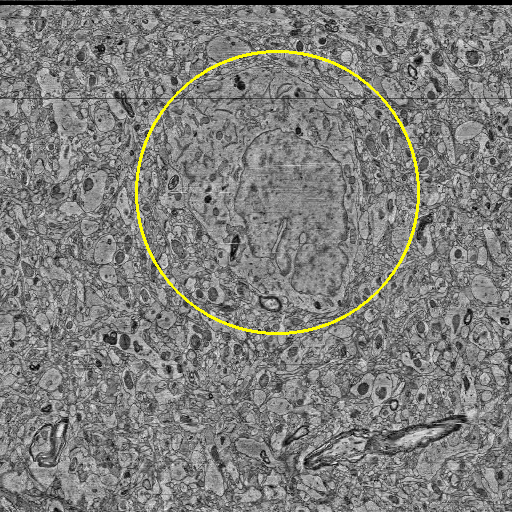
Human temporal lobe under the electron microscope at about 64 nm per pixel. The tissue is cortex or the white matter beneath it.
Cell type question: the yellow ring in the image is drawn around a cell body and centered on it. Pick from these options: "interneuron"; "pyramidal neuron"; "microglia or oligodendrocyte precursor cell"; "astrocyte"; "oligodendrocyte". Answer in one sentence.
The ringed cell at the center is an interneuron.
